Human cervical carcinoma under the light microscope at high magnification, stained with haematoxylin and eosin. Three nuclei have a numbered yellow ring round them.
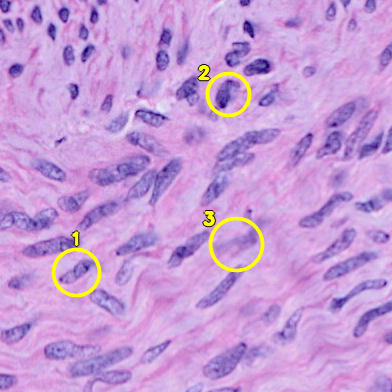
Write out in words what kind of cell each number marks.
Cells 1 and 3 are smooth muscle cells. Cell 2 is a fibroblast.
